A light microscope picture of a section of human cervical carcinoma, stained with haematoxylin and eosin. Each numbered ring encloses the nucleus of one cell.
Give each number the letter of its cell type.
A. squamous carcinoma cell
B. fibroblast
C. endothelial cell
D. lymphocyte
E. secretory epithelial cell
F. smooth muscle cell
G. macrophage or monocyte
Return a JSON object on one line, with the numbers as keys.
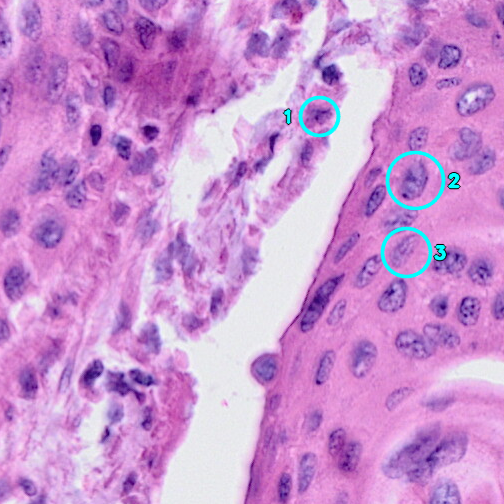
{"1": "G", "2": "A", "3": "A"}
